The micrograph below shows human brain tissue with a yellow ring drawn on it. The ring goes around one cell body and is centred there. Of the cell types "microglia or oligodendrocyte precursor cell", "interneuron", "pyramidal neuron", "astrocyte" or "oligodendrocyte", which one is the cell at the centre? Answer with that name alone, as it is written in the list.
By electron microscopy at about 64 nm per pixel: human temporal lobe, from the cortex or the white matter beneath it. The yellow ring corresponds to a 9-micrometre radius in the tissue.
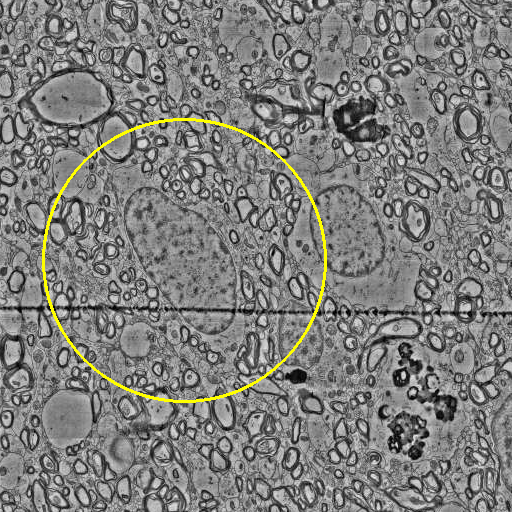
microglia or oligodendrocyte precursor cell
